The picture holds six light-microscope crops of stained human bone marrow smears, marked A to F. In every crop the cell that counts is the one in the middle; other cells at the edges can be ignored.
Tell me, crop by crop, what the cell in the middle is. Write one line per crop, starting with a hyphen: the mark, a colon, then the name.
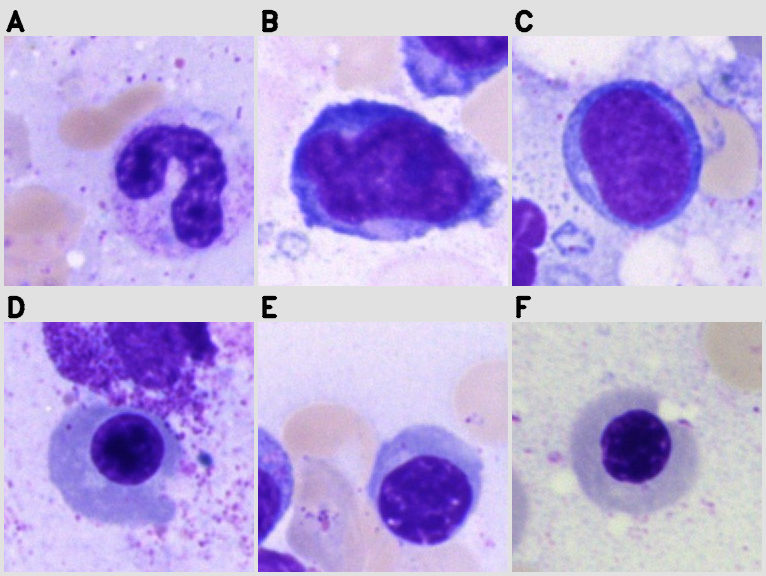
- A: band neutrophil
- B: blast
- C: blast
- D: erythroblast
- E: erythroblast
- F: erythroblast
